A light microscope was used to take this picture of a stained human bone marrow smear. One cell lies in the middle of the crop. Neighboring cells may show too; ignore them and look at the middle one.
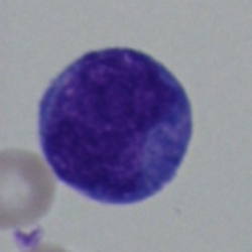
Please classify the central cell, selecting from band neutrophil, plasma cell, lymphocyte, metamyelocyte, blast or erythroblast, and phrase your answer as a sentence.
In the crop, the cell of interest at the centre is a blast.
